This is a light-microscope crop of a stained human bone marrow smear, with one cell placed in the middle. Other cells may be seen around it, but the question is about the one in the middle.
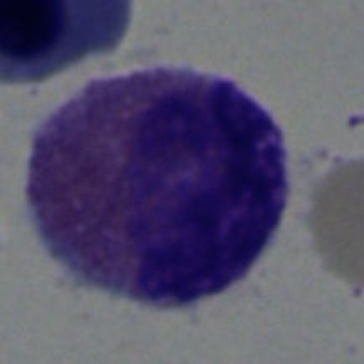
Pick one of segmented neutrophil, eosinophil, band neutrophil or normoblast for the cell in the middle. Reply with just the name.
eosinophil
